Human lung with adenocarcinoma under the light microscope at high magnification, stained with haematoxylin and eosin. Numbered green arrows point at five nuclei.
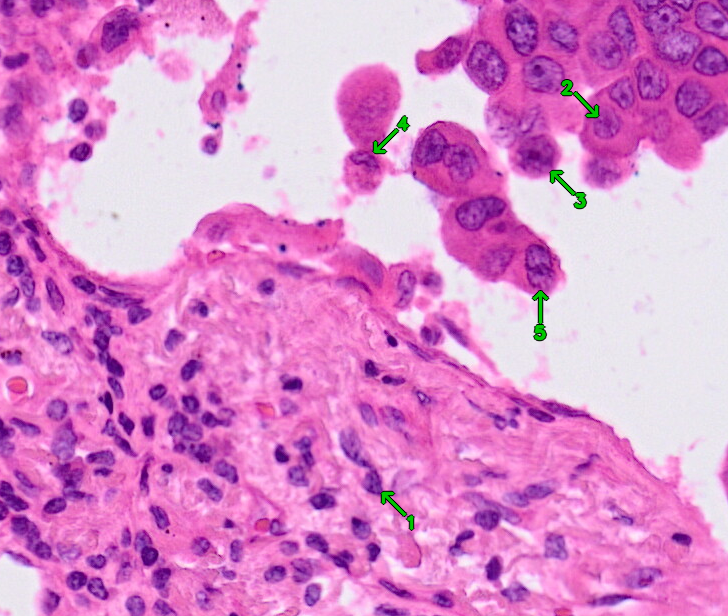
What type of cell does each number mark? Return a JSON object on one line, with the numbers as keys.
{"1": "lymphocyte", "2": "carcinoma cell", "3": "carcinoma cell", "4": "macrophage or monocyte", "5": "carcinoma cell"}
